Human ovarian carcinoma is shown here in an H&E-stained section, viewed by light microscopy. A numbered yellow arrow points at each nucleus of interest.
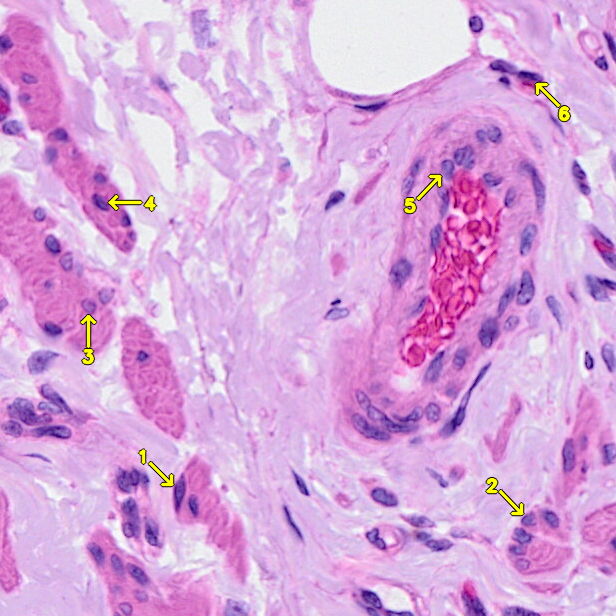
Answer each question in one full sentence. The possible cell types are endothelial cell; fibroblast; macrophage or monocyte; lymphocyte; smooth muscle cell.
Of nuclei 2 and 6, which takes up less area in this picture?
Nucleus 2 is the smaller one; nucleus 6 covers about 2 times its area.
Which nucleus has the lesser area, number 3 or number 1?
Nucleus 3 covers less area, with nucleus 1 about 1.5 times as large.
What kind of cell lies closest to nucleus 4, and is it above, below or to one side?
It is a smooth muscle cell, whose nucleus lies above nucleus 4.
